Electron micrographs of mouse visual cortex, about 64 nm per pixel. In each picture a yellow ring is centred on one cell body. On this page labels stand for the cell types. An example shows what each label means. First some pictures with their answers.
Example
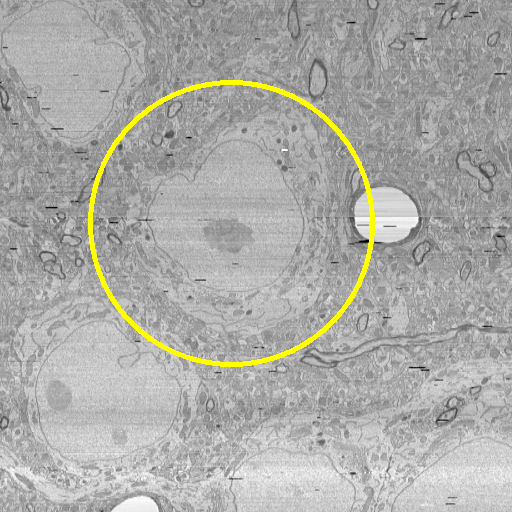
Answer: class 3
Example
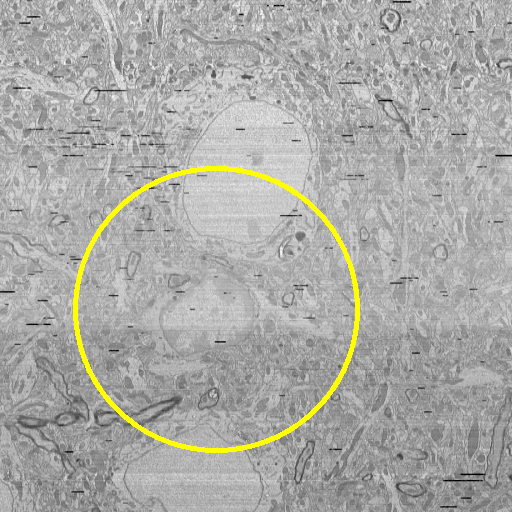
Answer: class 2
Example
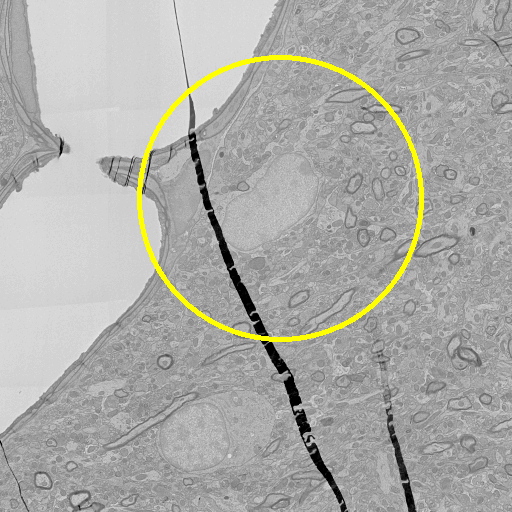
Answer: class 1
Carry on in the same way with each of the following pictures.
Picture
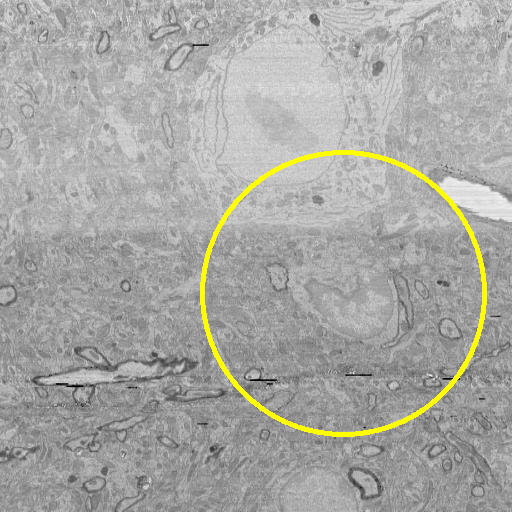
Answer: class 2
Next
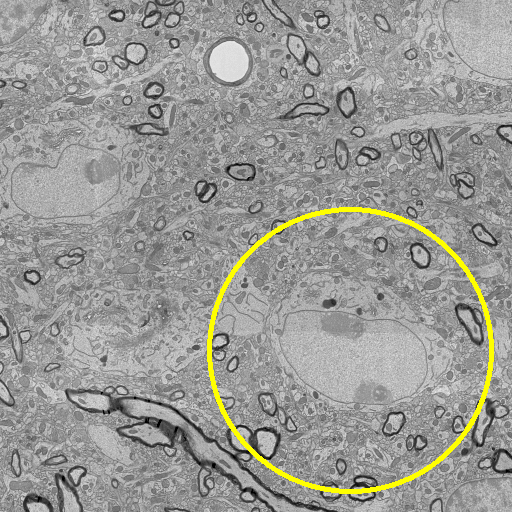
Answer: class 3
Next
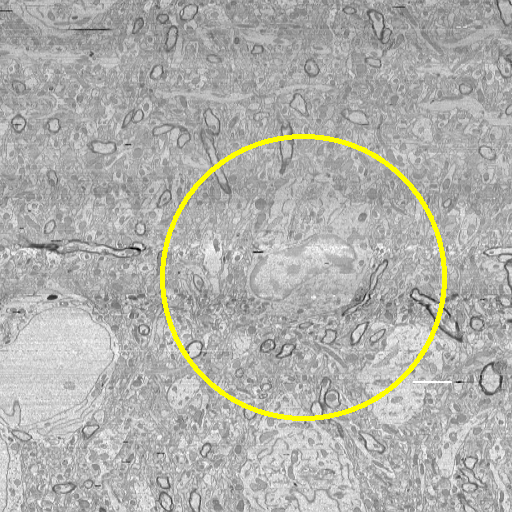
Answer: class 2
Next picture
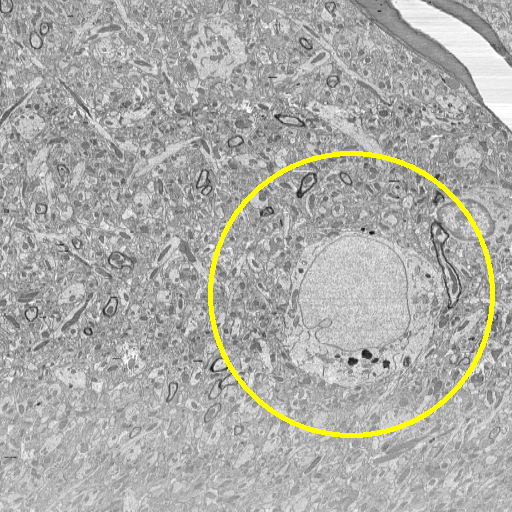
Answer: class 3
